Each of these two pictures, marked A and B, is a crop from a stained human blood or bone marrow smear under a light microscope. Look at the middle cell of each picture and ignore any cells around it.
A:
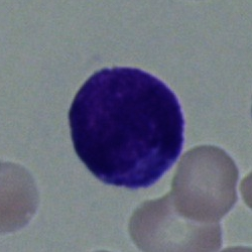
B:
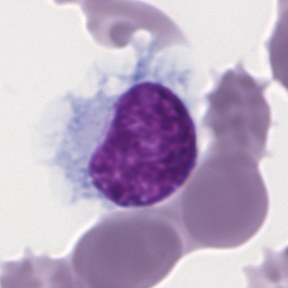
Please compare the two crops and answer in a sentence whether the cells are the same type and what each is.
No, crop A matches a blast and crop B matches a hairy cell.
